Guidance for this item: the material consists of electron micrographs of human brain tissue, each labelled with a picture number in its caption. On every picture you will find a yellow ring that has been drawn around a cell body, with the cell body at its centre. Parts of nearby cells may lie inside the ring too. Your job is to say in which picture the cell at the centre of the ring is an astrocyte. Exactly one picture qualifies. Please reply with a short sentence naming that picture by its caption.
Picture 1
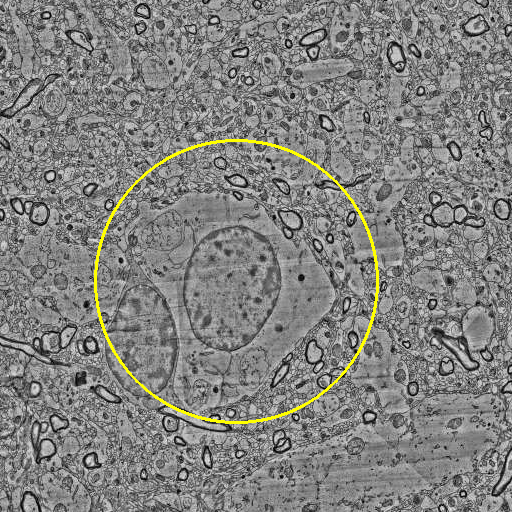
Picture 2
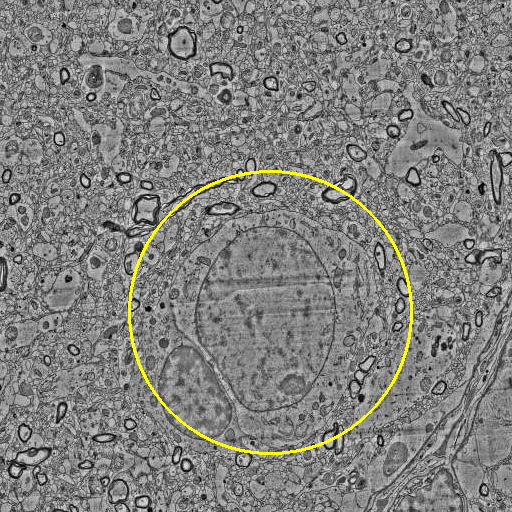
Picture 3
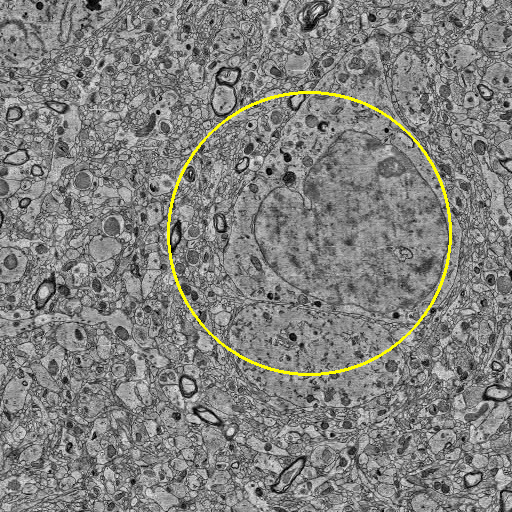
Picture 1 shows it at the centre of the ring.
